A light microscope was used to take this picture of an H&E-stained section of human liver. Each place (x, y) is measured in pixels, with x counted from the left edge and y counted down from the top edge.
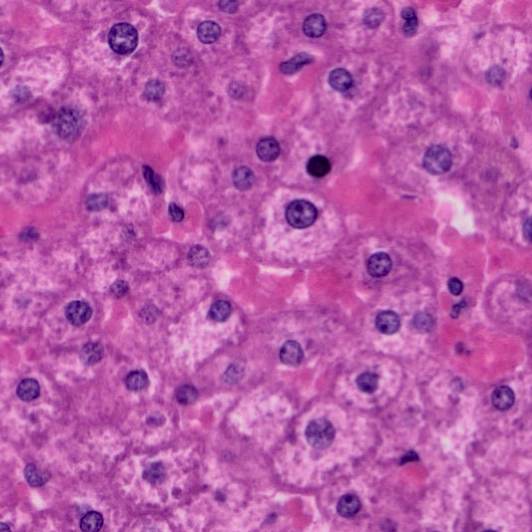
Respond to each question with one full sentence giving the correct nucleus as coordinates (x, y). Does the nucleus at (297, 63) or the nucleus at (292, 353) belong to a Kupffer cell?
The nucleus whose position is (297, 63) belongs to a Kupffer cell.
